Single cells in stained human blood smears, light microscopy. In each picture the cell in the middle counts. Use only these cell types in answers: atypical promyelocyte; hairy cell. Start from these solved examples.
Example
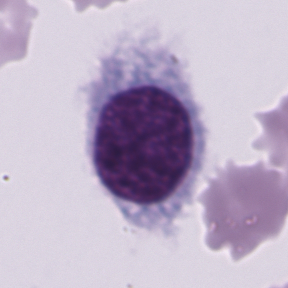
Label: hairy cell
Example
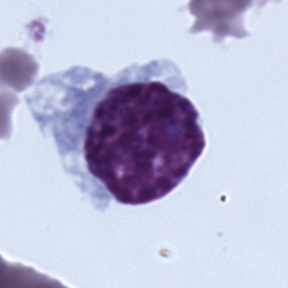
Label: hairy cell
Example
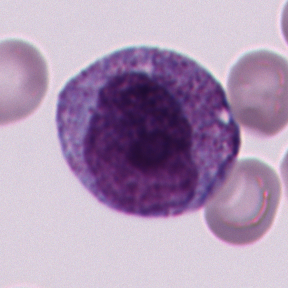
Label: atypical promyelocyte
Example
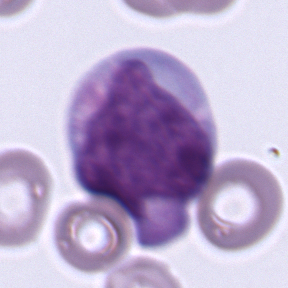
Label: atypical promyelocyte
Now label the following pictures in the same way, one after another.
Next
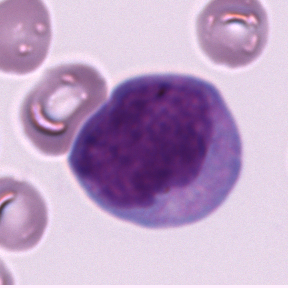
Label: atypical promyelocyte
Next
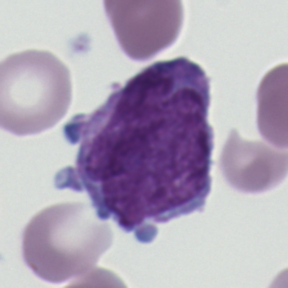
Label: atypical promyelocyte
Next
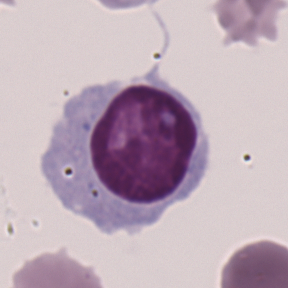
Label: hairy cell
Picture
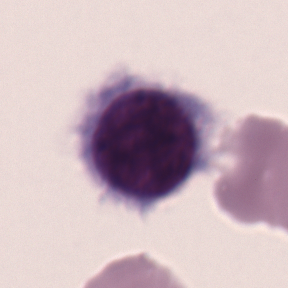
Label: hairy cell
